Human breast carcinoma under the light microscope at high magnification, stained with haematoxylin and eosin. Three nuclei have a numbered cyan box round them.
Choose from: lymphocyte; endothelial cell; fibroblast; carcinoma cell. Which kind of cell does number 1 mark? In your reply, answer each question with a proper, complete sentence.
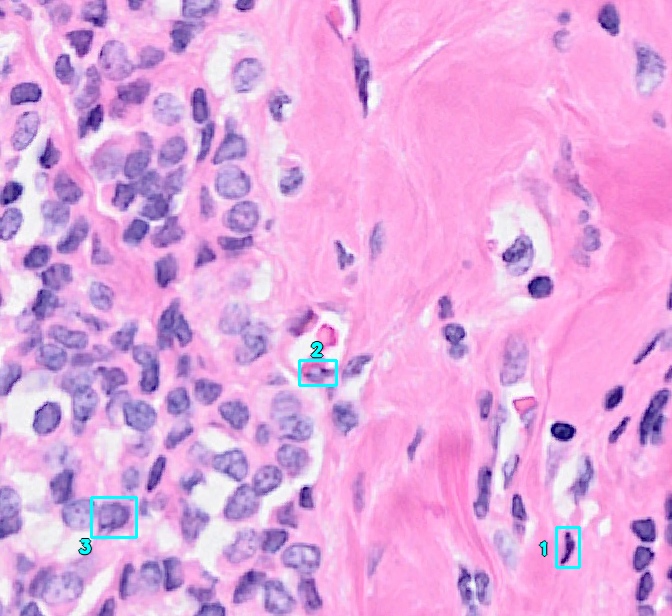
In this section, number 1 marks a fibroblast.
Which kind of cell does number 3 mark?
The numeral 3 marks a carcinoma cell in this section.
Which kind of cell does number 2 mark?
The nucleus labeled 2 belongs to an endothelial cell.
